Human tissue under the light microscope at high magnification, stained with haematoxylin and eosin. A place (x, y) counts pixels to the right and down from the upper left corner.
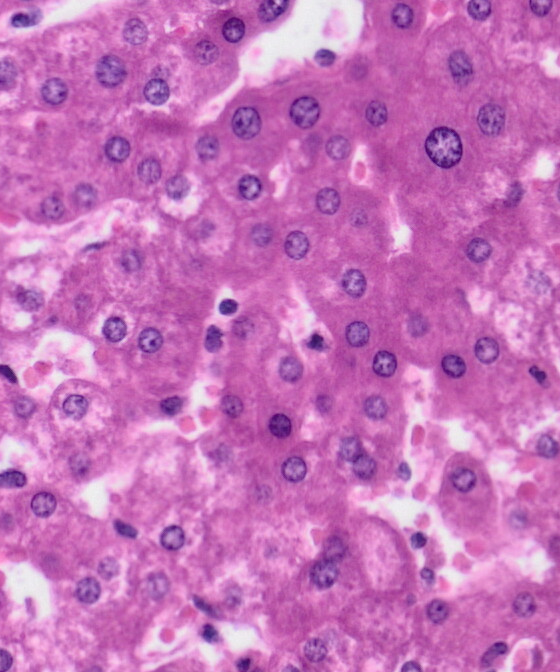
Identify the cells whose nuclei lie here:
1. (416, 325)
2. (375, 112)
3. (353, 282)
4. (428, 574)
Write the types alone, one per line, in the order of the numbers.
hepatocyte
hepatocyte
hepatocyte
Kupffer cell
